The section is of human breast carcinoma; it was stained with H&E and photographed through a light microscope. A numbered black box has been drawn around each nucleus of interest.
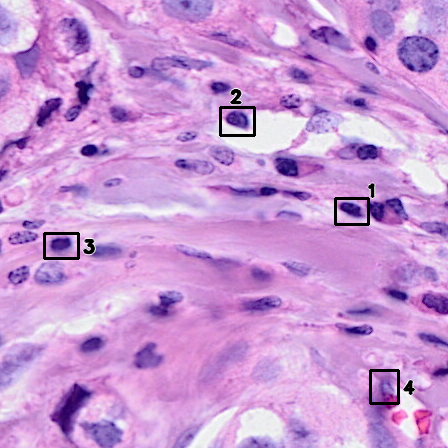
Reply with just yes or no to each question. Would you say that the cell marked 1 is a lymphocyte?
yes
